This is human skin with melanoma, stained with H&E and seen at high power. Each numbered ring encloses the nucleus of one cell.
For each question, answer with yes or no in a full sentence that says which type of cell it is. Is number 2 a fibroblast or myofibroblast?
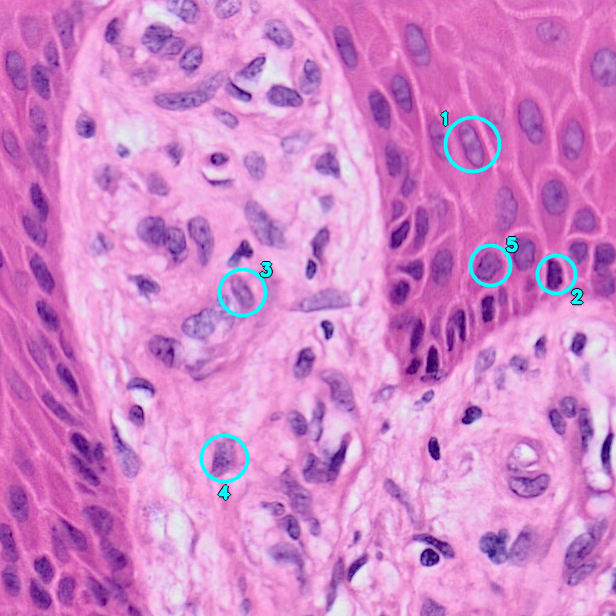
No, cell 2 does not count as a fibroblast or myofibroblast; it is a keratinocyte.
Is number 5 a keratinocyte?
Yes, the cell at marker 5 is a keratinocyte.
